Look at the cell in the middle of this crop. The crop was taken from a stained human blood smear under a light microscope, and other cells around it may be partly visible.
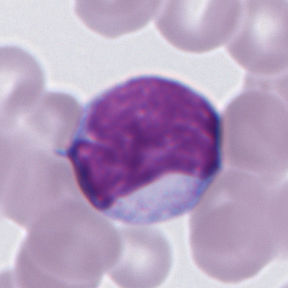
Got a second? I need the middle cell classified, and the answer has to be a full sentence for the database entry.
The identification for the central cell is a large granular lymphocyte.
